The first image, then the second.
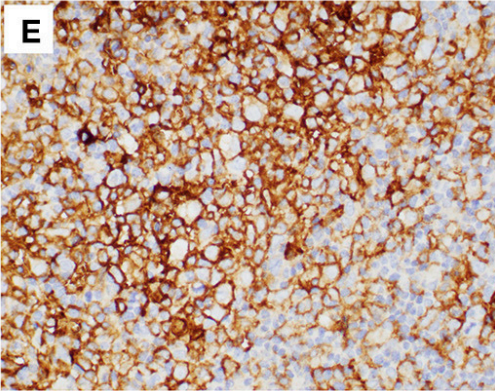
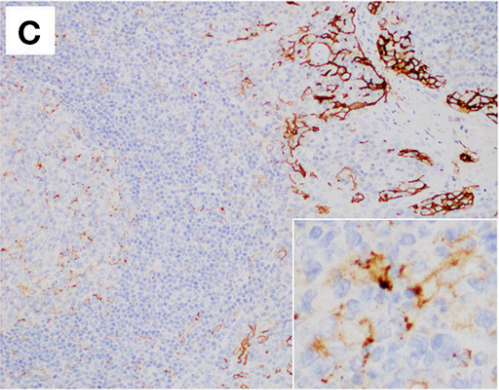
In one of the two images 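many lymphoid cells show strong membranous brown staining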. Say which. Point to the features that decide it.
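The first image. Second image: the lymphoid area is mostly blue with only scattered faint brown cells; strong stain is confined to the net-like band at the upper right.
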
